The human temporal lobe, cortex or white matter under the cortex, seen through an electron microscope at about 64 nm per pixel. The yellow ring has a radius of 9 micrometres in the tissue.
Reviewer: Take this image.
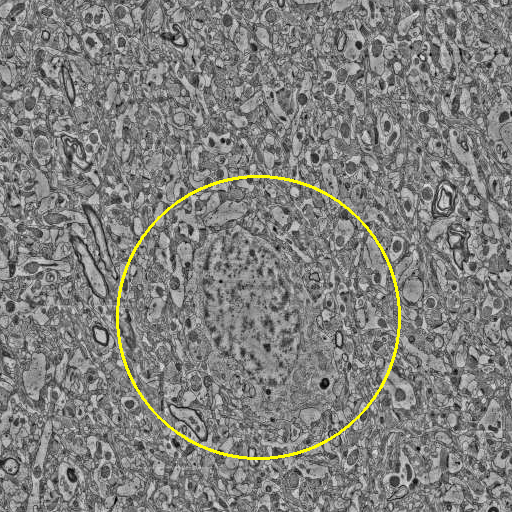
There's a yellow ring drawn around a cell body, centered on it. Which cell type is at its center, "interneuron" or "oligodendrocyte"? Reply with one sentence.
At the center of the yellow ring is an interneuron.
